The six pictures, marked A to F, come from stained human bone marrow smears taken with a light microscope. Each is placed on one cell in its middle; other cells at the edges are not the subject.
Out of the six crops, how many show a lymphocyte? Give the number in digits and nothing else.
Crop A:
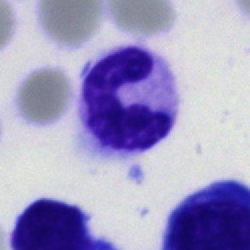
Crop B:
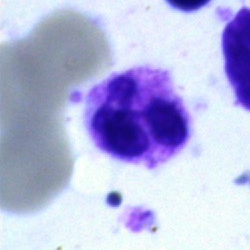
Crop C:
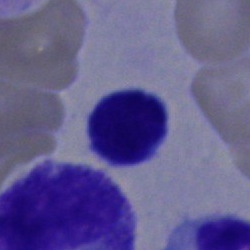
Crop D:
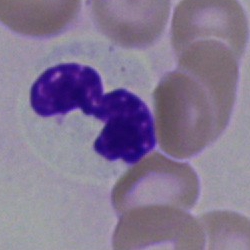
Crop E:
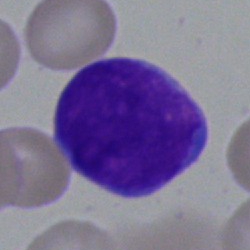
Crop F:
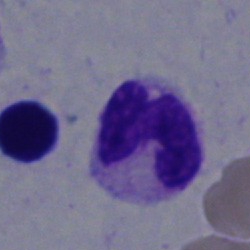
1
